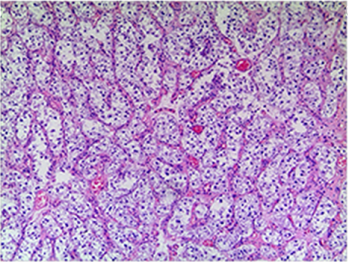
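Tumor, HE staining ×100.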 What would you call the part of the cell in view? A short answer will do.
Abundant cytoplasm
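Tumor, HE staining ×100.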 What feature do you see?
Nest-like and alveolar manner.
